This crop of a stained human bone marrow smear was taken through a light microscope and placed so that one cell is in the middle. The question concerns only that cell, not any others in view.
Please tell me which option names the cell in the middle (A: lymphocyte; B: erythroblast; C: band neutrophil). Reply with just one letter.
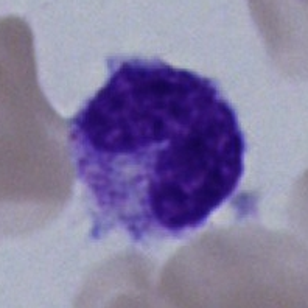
C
